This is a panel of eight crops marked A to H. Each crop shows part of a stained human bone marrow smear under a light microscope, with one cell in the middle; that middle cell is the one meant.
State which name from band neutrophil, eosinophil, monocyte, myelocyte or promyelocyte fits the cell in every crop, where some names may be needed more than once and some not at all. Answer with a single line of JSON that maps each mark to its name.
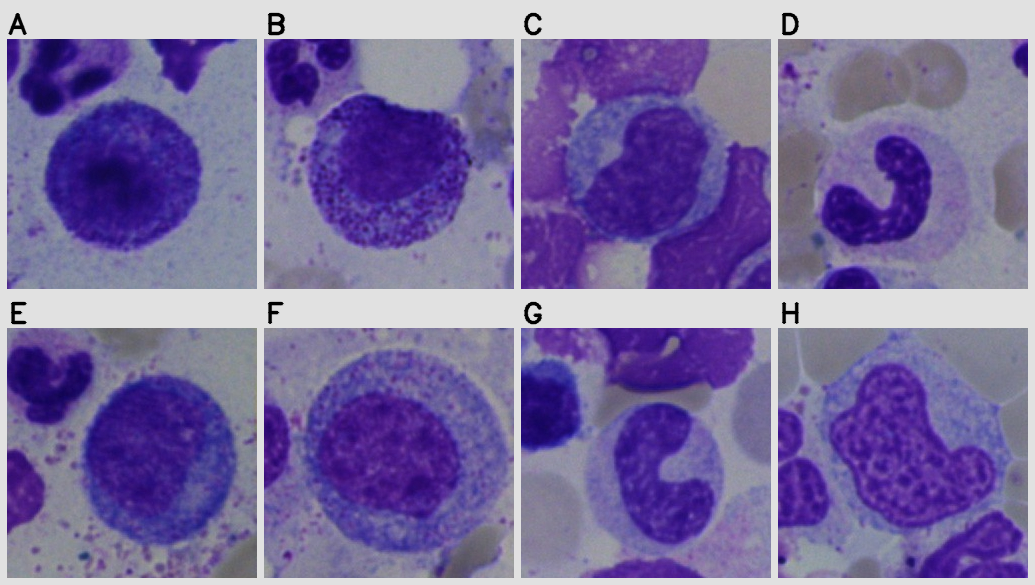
{"A": "promyelocyte", "B": "myelocyte", "C": "monocyte", "D": "band neutrophil", "E": "promyelocyte", "F": "promyelocyte", "G": "band neutrophil", "H": "monocyte"}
